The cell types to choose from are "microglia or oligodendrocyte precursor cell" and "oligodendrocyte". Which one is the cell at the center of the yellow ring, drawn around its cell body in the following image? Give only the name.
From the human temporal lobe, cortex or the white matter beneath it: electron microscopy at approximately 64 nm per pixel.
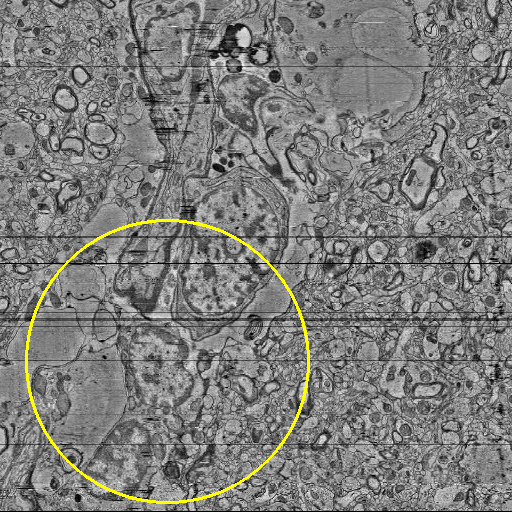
oligodendrocyte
